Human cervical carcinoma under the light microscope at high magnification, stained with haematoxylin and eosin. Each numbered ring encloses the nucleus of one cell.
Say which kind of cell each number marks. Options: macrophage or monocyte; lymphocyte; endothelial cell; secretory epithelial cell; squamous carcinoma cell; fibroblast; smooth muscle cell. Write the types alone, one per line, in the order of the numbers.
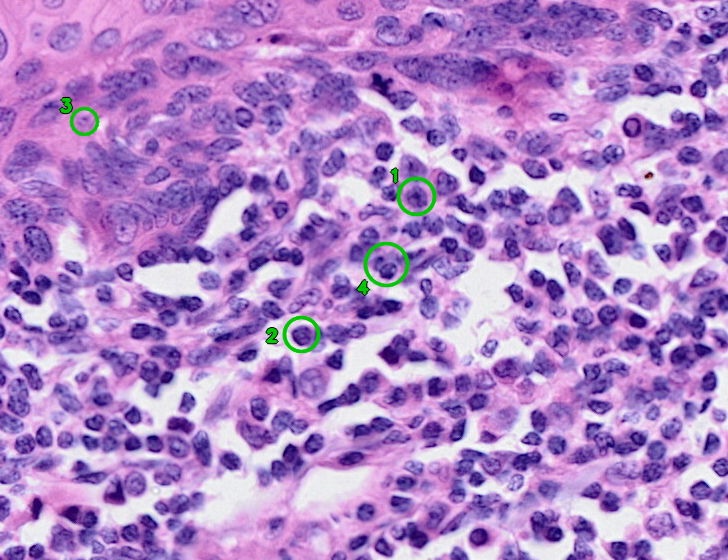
lymphocyte
lymphocyte
squamous carcinoma cell
lymphocyte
